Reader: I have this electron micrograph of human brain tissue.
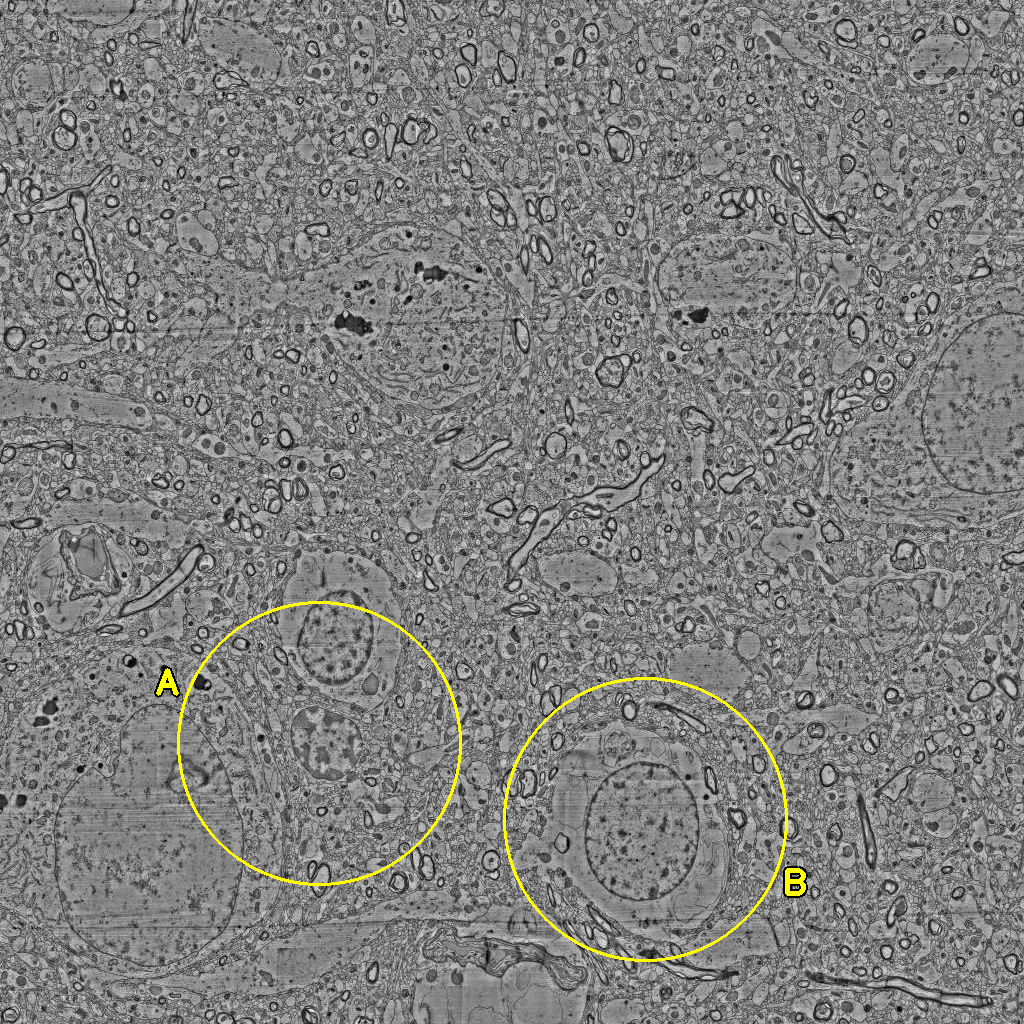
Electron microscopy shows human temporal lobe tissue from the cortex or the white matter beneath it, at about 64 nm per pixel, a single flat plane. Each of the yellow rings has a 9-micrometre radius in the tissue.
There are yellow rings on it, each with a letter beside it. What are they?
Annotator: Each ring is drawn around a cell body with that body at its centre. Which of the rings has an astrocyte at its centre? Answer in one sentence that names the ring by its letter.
That cell sits at the centre of ring B.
